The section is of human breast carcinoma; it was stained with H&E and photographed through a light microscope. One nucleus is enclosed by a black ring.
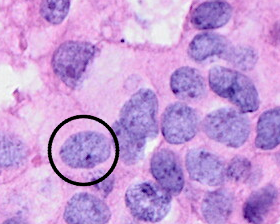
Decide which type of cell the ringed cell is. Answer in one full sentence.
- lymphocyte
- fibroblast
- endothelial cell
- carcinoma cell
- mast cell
The category to which the ringed cell belongs is that of a carcinoma cell.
